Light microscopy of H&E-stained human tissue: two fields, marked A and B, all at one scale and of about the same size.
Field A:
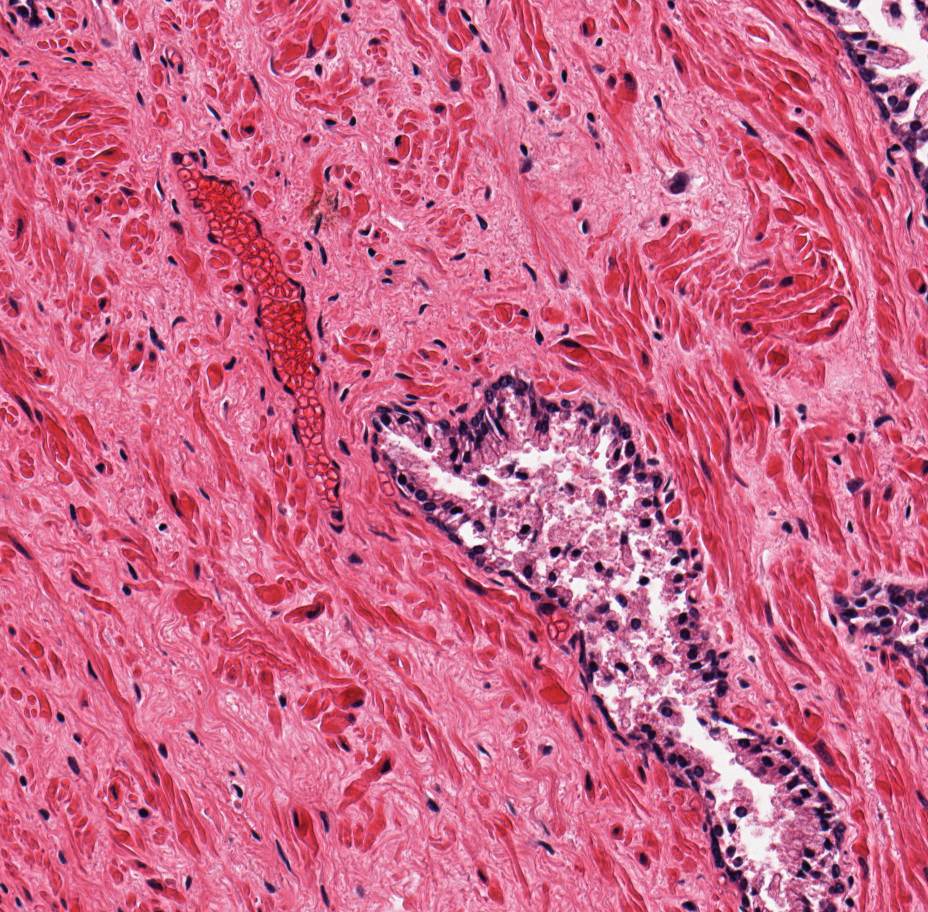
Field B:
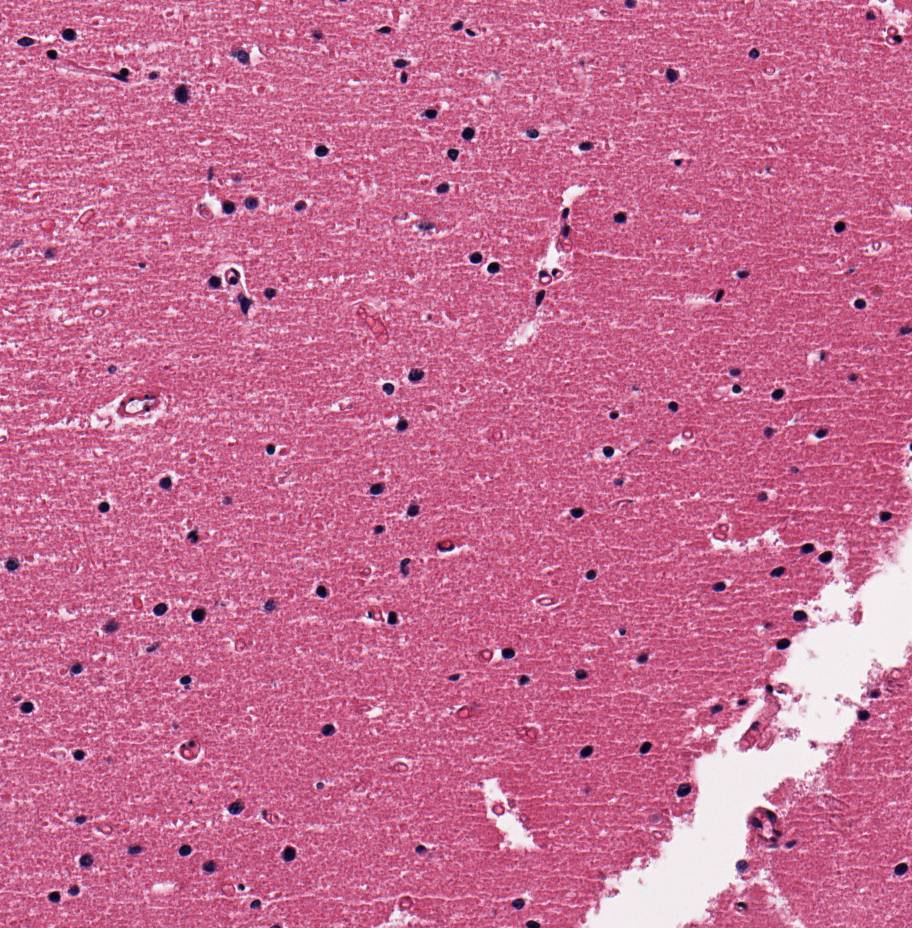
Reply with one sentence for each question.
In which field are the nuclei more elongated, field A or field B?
It is field A whose nuclei are the more elongated.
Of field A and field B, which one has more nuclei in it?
It is field A that has more nuclei in it.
